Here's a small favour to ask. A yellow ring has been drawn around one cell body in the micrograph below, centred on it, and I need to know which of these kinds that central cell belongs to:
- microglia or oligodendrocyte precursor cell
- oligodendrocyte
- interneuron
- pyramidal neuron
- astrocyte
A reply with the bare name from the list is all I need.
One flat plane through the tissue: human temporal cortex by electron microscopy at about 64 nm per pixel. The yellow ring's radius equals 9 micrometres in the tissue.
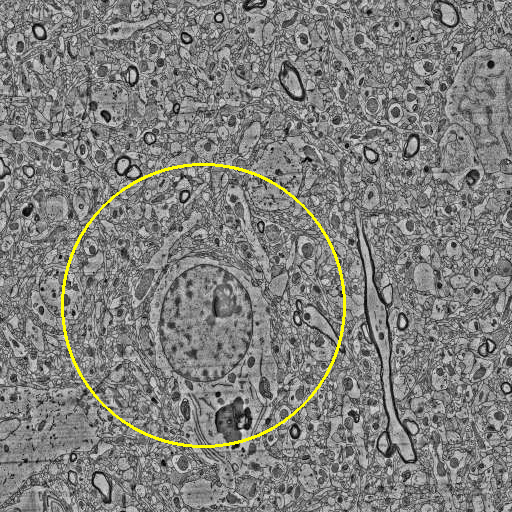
astrocyte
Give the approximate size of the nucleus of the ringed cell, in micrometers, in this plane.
About 8 by 6 micrometers, in this plane.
